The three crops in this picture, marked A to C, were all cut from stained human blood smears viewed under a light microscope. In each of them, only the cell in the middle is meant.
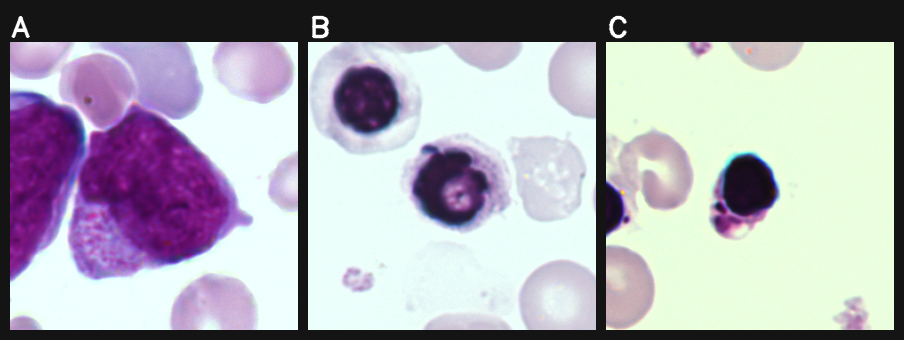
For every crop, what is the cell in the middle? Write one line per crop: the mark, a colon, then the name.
A: atypical promyelocyte
B: normoblast
C: normoblast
